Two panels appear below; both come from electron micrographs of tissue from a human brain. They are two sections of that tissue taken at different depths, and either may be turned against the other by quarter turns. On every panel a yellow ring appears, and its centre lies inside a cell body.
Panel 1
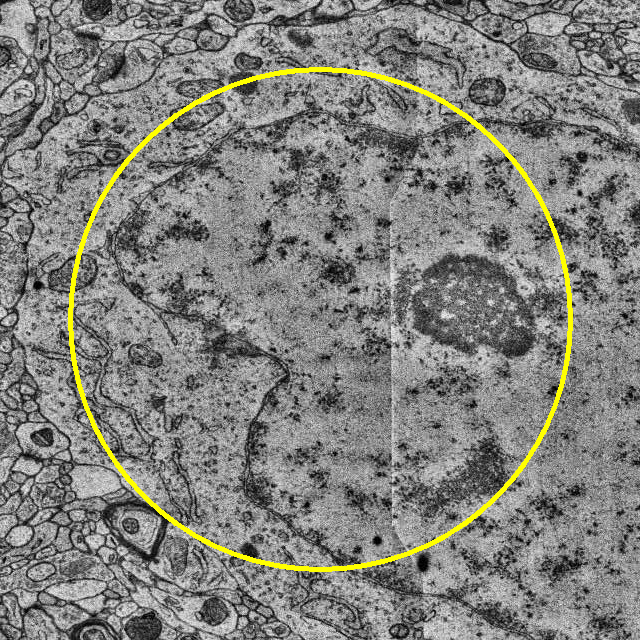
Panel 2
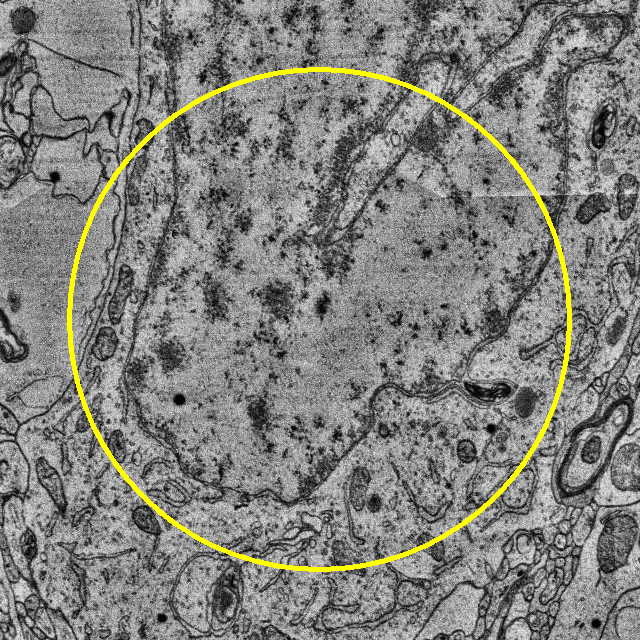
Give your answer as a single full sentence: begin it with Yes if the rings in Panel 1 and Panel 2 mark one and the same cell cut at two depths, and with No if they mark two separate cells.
Yes, both rings identify a single, shared cell.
